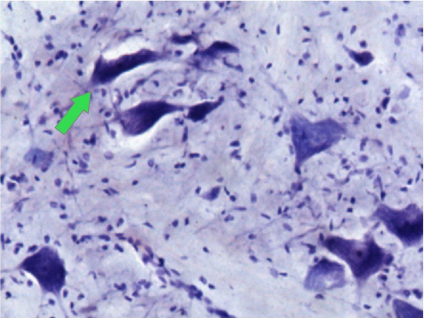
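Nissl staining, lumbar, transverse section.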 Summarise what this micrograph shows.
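This is ventral horn grey matter of the spinal cord with motor neurons among many small glial nuclei in a pale purple neuropil. Some neurons, especially two in the upper left, are elongated, narrowed and stained a dense, even dark purple in which no pale nucleus can be made out. Pale clefts partly surround these shrunken cell bodies. Small dark glial nuclei appear numerous throughout the field. These shrunken, darkly stained cells are abnormal motor neurons.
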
